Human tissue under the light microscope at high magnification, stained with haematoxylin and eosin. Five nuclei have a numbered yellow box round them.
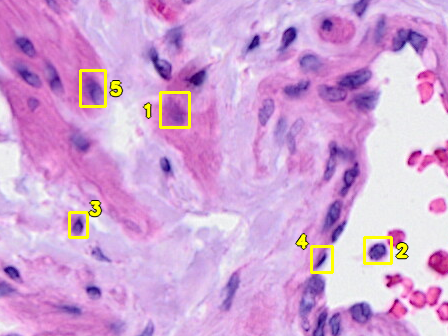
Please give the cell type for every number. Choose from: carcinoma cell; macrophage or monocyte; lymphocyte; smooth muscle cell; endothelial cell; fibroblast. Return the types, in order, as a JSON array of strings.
["smooth muscle cell", "lymphocyte", "smooth muscle cell", "endothelial cell", "smooth muscle cell"]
